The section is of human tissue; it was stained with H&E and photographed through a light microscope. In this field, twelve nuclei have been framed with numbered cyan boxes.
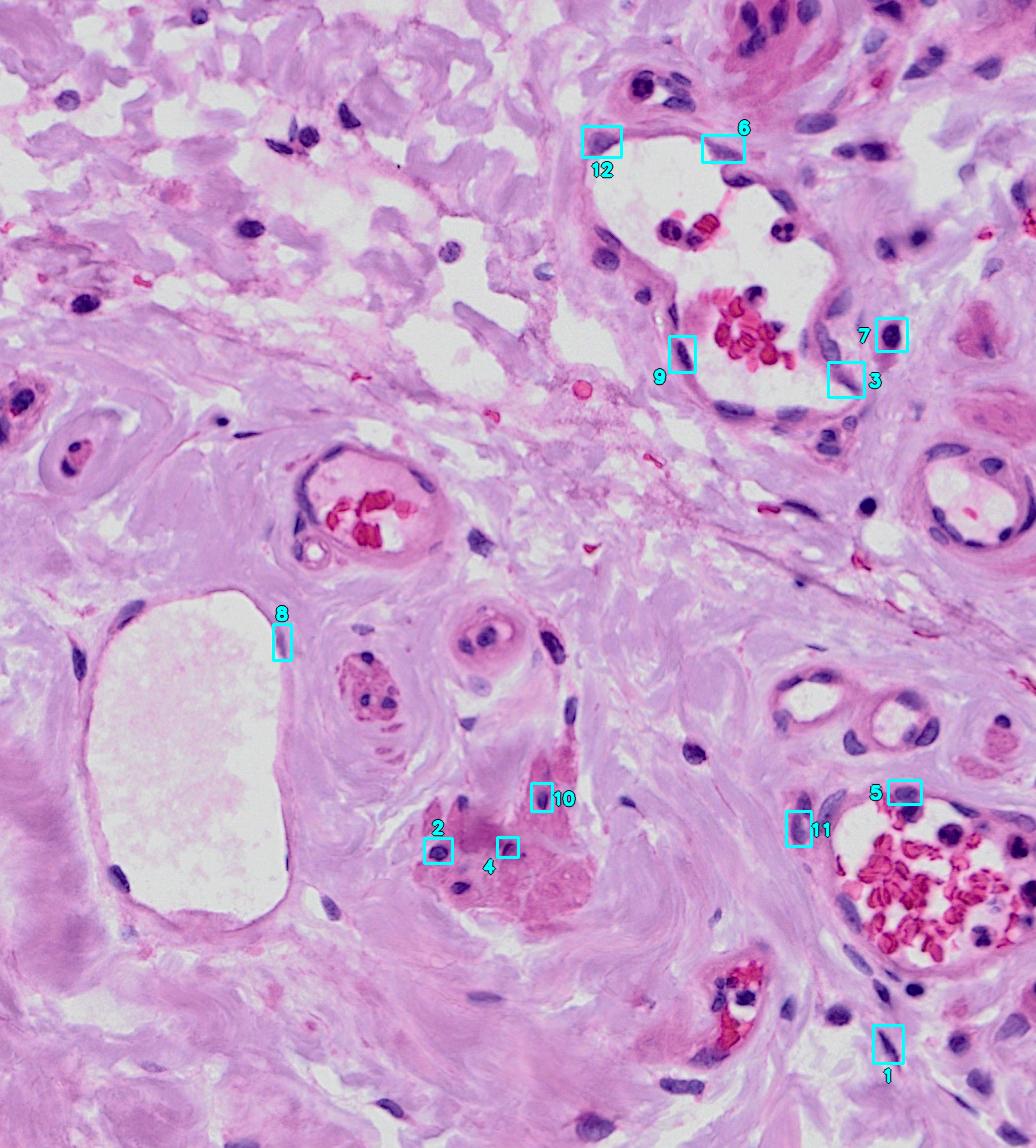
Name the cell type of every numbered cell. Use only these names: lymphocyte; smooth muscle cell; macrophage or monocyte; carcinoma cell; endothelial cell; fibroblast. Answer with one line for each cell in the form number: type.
1: fibroblast
2: smooth muscle cell
3: endothelial cell
4: smooth muscle cell
5: endothelial cell
6: endothelial cell
7: lymphocyte
8: endothelial cell
9: endothelial cell
10: smooth muscle cell
11: endothelial cell
12: endothelial cell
